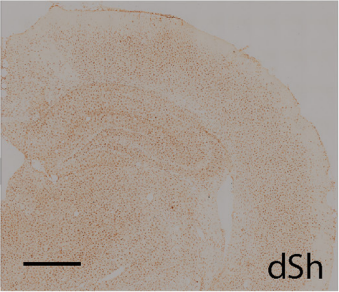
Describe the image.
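This is a coronal section of one brain hemisphere showing cortex, the hippocampus and deeper regions with a fine, even brown stain. Small stained cells are scattered fairly uniformly throughout, and no region stands out as densely stained.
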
